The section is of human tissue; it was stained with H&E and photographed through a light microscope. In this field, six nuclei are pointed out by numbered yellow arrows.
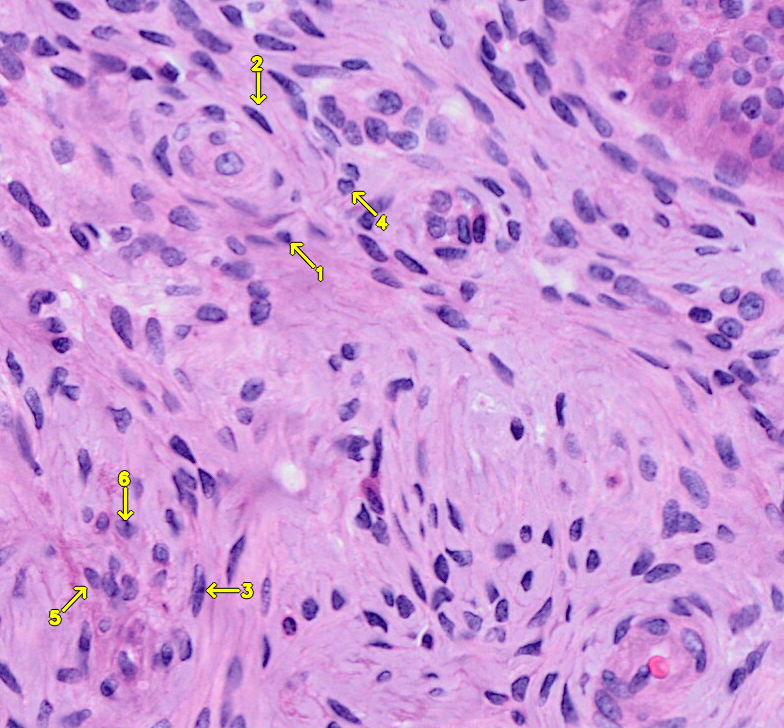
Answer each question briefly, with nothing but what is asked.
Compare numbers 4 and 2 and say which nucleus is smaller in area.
4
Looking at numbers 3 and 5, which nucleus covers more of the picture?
3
